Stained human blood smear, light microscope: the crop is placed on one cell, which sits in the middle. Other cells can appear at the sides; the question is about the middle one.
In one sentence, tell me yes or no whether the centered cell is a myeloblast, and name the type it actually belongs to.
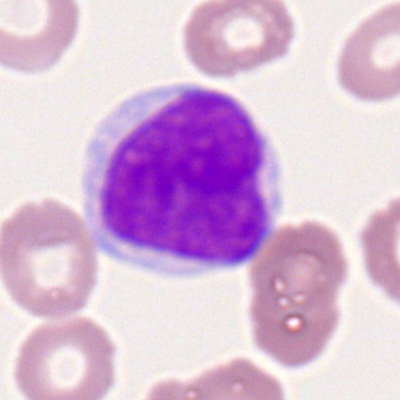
No, not a myeloblast here; the centered cell is a lymphocyte.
